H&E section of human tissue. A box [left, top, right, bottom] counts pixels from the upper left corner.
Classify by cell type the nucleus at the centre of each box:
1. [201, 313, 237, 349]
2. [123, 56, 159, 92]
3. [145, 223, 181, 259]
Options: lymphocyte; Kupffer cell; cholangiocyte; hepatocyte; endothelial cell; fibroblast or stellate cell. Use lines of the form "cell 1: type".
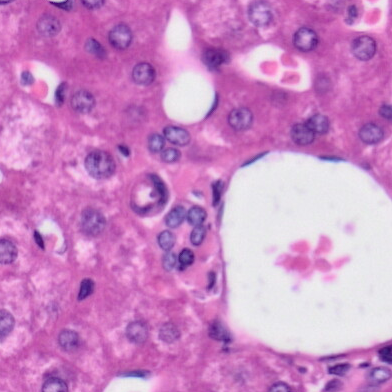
cell 1: fibroblast or stellate cell
cell 2: hepatocyte
cell 3: cholangiocyte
